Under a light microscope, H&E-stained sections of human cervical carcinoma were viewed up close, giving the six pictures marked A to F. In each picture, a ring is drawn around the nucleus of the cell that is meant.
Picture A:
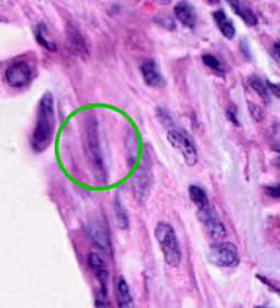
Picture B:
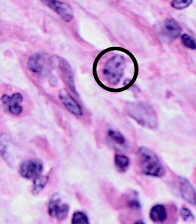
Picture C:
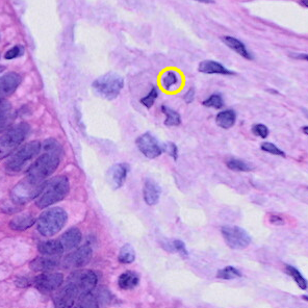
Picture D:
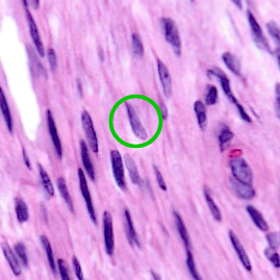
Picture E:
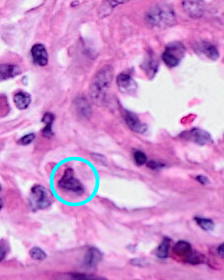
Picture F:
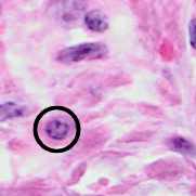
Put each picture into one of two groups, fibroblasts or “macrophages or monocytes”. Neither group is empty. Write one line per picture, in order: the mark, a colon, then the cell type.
A: fibroblast
B: macrophage or monocyte
C: fibroblast
D: fibroblast
E: macrophage or monocyte
F: macrophage or monocyte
